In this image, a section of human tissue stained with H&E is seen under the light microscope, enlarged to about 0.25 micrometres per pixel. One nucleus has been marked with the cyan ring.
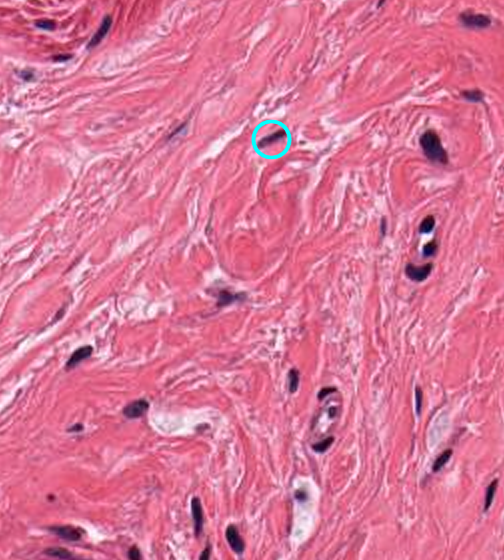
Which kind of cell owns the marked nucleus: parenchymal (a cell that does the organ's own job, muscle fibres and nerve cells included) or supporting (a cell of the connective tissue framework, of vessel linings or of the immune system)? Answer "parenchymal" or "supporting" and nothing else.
supporting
